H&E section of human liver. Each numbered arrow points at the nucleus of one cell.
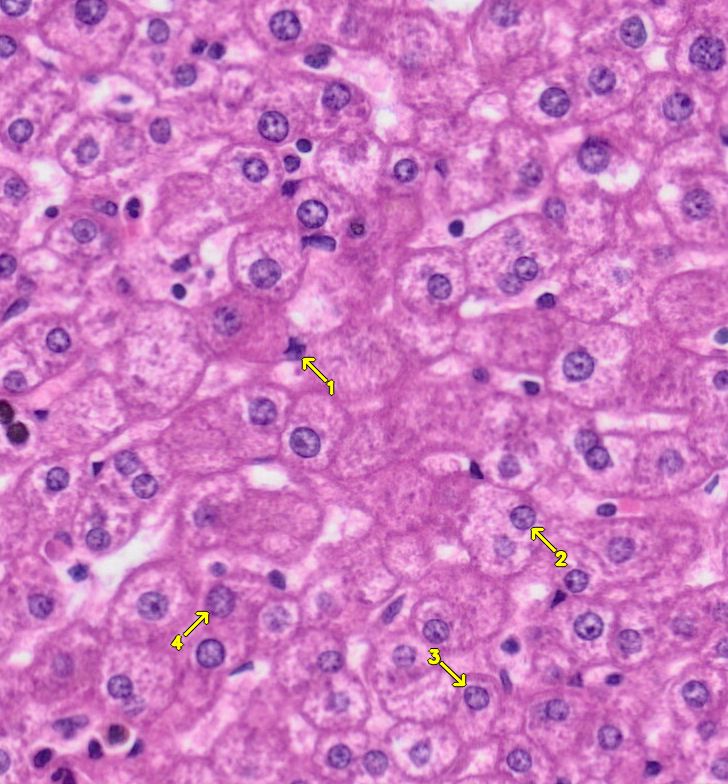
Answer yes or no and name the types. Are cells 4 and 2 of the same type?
Yes, both are hepatocytes.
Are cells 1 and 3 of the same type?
No, cell 1 is a fibroblast or stellate cell and cell 3 is a hepatocyte.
